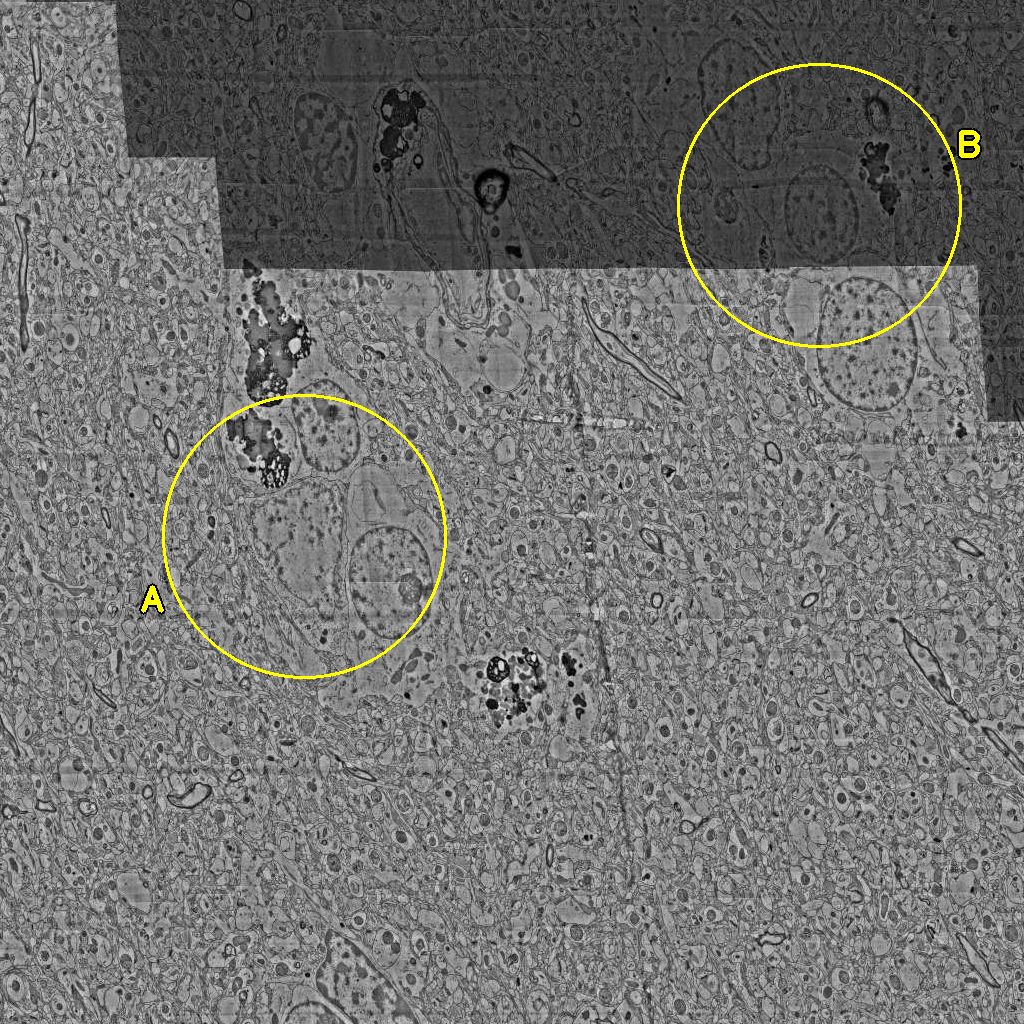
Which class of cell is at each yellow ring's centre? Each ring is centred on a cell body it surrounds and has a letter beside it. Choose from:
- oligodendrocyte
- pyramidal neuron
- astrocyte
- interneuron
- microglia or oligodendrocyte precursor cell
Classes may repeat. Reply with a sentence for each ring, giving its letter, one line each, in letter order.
The ring lettered A is centred on an interneuron.
The ring lettered B is centred on an astrocyte.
